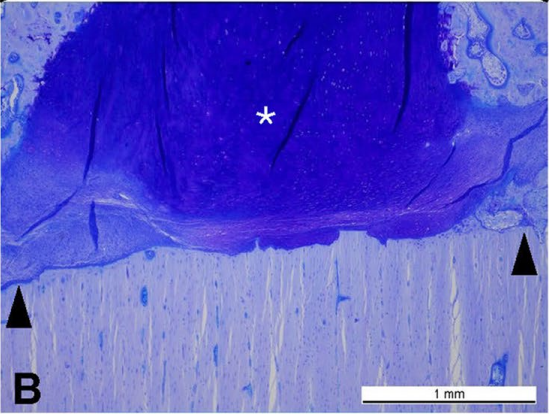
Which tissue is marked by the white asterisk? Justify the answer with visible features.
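Cartilaginous tissue. The asterisk sits in a large, intensely dark purple island distinct from the pale blue bone around it. The dark purple island has a homogeneous matrix with scattered small lacunae. Pale lamellar bone lies beneath the island.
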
